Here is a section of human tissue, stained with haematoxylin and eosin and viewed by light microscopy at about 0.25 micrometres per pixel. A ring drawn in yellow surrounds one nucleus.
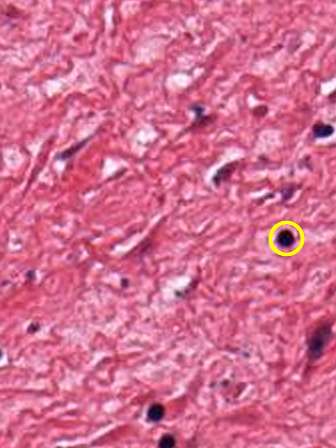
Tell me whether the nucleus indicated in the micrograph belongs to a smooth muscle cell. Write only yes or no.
no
